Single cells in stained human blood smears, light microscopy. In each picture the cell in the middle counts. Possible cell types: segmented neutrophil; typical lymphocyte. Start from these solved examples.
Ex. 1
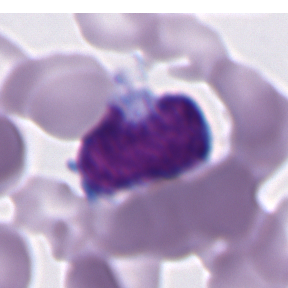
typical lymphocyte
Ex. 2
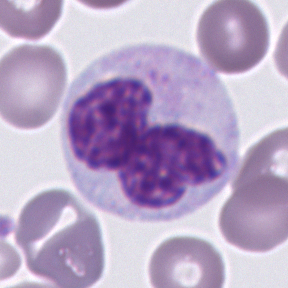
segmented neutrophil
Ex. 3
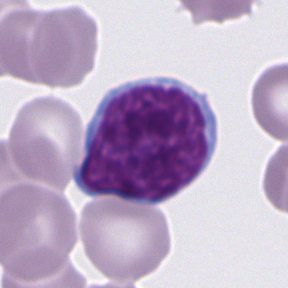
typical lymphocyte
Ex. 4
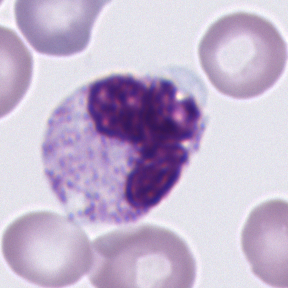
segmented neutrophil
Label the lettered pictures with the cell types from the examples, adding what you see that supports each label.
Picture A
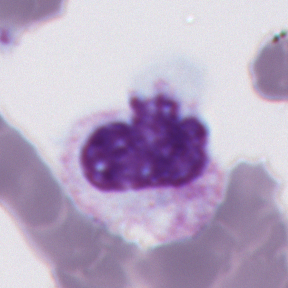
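Answer: segmented neutrophil. The cytoplasm is pale pink.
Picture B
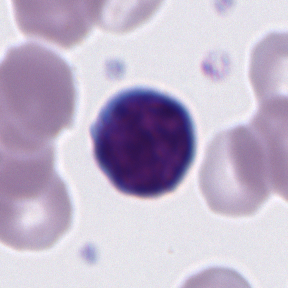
Answer: typical lymphocyte. The cytoplasm is only a very thin bluish rim around the nucleus.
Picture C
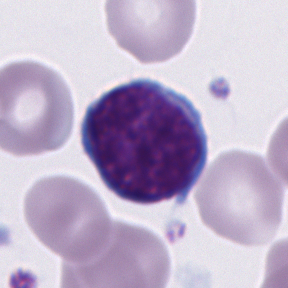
Answer: typical lymphocyte. The cytoplasm forms only a thin blue rim around the nucleus.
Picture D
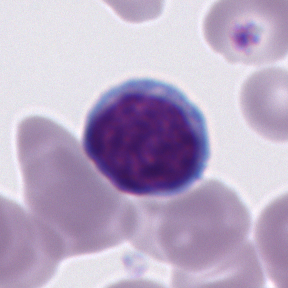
Answer: typical lymphocyte. The cytoplasm forms only a thin rim around the nucleus.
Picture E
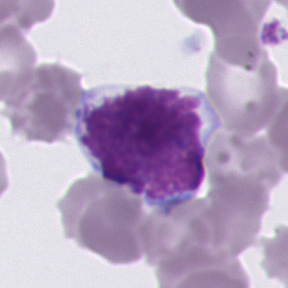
Answer: typical lymphocyte. The cytoplasm forms only a thin rim around the nucleus.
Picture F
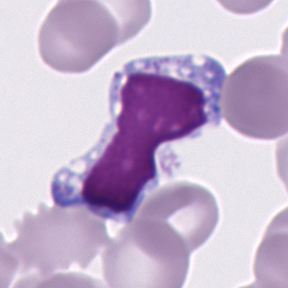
Answer: typical lymphocyte. The cytoplasm forms a narrow rim that is widest at the top of the cell.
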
